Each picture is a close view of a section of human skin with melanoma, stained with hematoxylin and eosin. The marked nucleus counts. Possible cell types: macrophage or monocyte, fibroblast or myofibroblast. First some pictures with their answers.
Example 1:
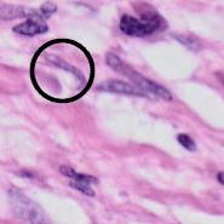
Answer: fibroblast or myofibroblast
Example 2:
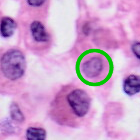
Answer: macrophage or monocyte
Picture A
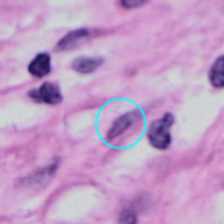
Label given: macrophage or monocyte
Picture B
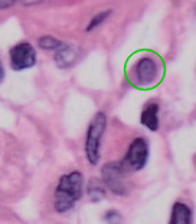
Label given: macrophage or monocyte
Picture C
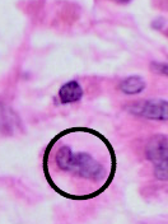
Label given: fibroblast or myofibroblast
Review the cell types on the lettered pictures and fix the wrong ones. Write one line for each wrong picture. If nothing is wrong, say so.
C is labelled fibroblast or myofibroblast; correct label: macrophage or monocyte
